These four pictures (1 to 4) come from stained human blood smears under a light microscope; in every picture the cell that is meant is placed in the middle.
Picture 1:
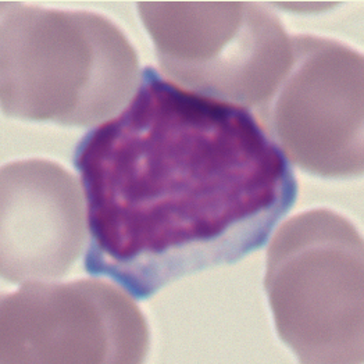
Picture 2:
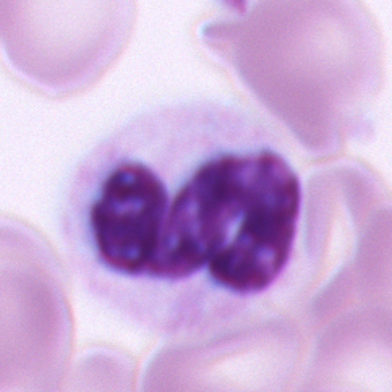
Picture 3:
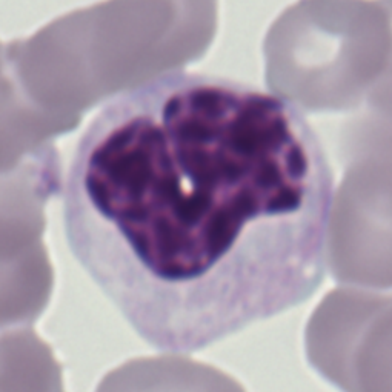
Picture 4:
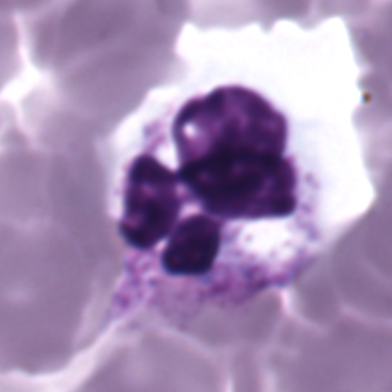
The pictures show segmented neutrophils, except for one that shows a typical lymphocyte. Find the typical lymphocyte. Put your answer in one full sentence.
It is picture 1 that shows the typical lymphocyte.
